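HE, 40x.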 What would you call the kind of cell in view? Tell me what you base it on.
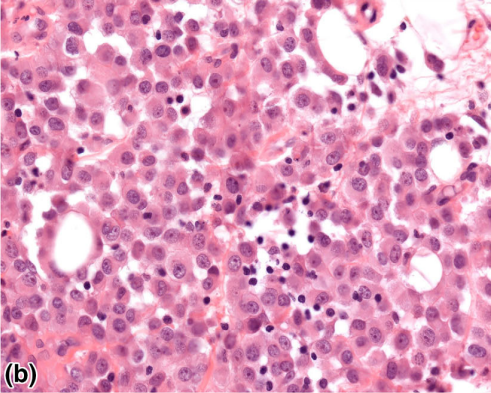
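Epithelioid cells with severe atypia. Sheets of polygonal cells with ample pink cytoplasm. Enlarged round nuclei with visible nucleoli. Cells look alike in size and shape.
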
